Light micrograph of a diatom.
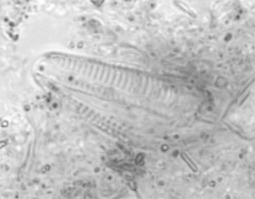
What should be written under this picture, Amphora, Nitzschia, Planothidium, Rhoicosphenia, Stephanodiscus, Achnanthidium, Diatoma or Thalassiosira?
Rhoicosphenia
